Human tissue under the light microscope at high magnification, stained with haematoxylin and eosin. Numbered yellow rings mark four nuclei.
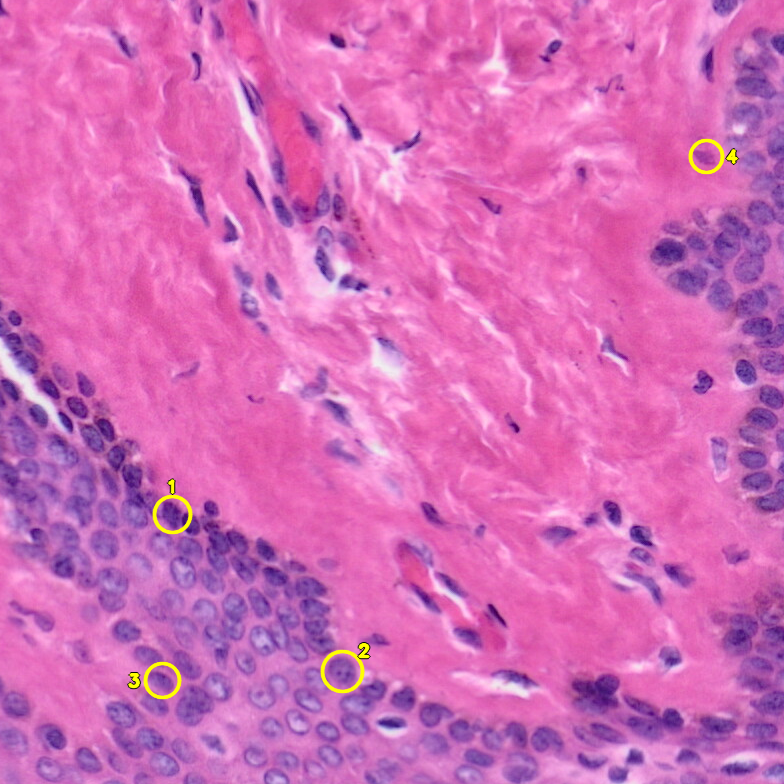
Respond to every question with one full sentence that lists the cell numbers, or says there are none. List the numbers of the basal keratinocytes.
The cells that the numbers 1, 2 and 3 belong to are basal keratinocytes.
